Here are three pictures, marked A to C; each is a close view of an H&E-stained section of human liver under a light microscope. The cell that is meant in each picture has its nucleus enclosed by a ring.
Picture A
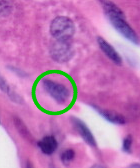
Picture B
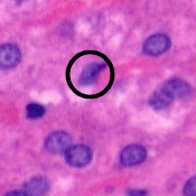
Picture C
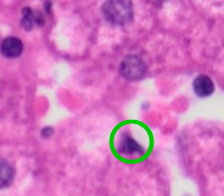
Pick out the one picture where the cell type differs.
B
